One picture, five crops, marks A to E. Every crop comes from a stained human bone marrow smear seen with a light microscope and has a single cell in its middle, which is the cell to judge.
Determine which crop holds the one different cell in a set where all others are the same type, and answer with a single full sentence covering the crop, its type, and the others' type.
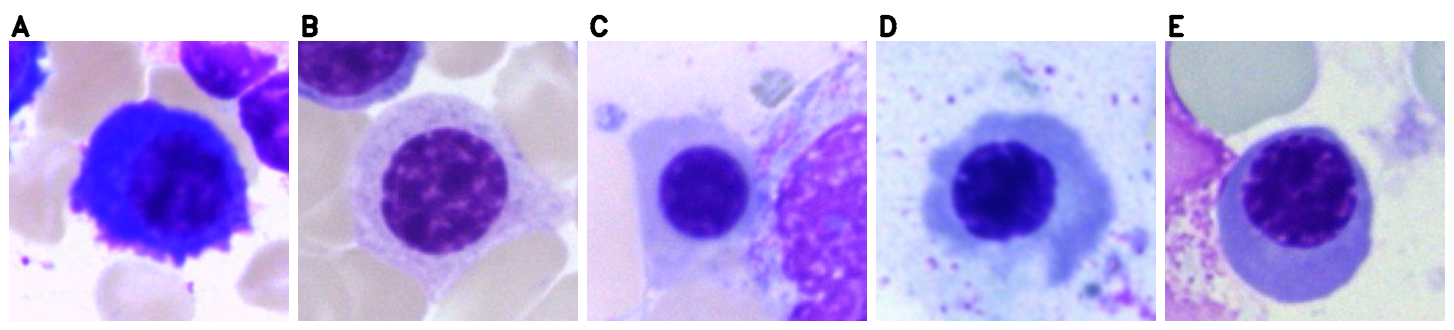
Only crop A differs, being a plasma cell, while the others all show erythroblasts.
